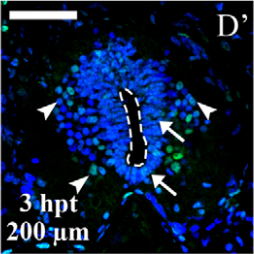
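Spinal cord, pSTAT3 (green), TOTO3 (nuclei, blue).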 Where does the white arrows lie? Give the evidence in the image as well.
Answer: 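Ventricular zone. The arrows point to nuclei in the dense band right beside the dashed slit. Nuclei in this band are crowded and radially arranged.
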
